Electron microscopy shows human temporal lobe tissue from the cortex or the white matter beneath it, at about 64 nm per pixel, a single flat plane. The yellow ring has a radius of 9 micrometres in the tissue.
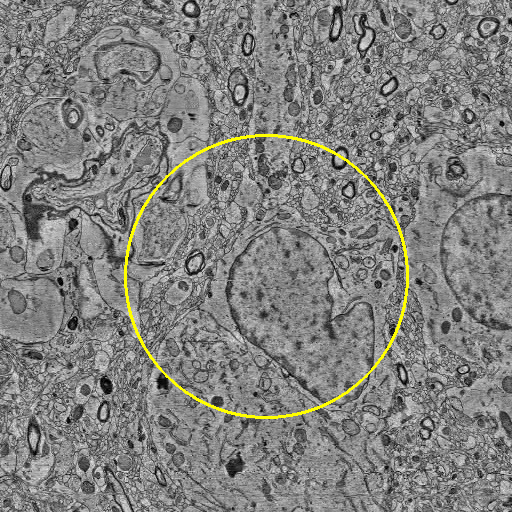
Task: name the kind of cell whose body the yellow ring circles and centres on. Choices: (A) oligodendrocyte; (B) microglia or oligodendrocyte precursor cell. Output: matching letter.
B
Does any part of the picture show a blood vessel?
Yes.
